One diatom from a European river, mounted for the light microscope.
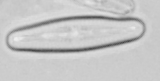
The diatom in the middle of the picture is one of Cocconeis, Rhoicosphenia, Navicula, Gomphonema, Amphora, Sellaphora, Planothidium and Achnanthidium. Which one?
Achnanthidium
